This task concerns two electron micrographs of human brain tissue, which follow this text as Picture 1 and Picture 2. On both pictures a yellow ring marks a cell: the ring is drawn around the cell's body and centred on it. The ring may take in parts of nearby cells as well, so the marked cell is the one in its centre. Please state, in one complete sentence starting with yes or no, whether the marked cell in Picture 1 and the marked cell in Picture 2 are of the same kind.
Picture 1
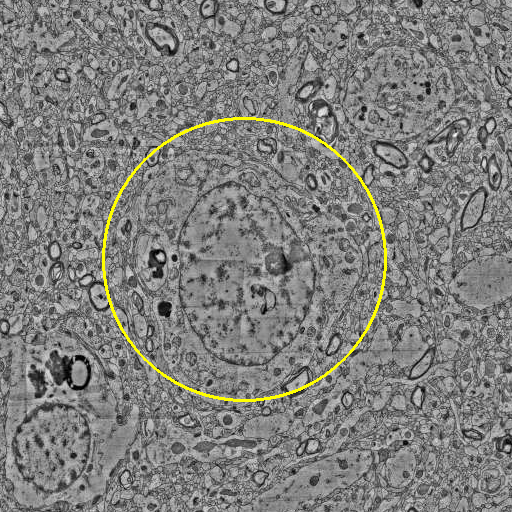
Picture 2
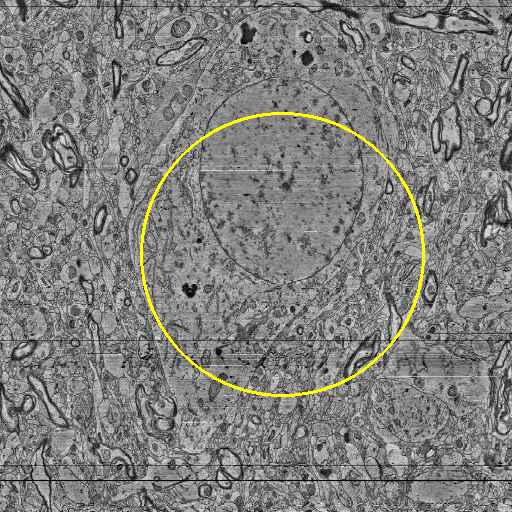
Yes, the marked cells in both pictures are of the same kind.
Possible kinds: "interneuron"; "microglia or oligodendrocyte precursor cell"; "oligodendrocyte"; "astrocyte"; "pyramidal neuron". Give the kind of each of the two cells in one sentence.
In the first picture and in the second, the ring is centred on a pyramidal neuron.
